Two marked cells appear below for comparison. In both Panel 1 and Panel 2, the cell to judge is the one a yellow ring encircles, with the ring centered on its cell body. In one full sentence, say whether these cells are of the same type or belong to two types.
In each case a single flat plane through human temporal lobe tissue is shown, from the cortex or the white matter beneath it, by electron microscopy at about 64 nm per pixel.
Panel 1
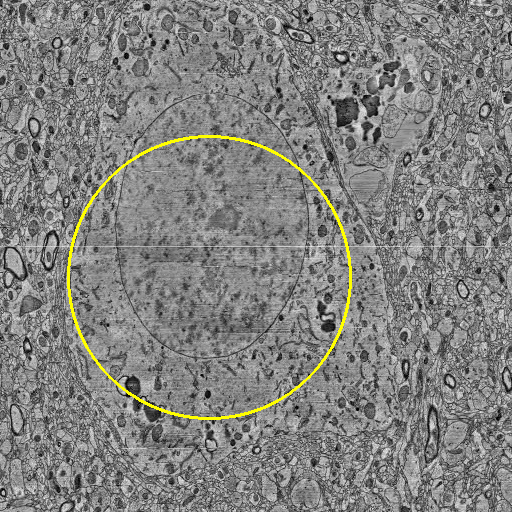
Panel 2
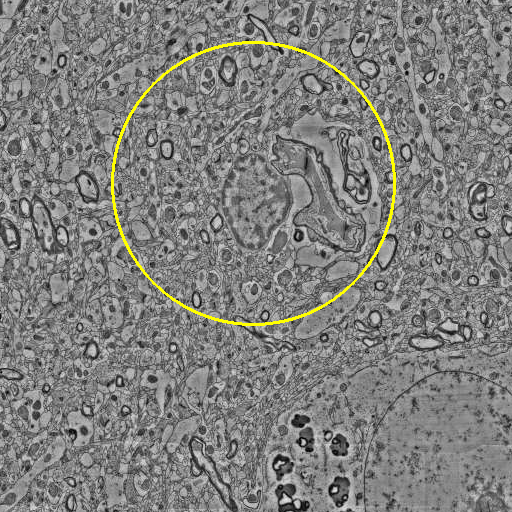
The cell centered in the Panel 1 ring and the one in Panel 2 belong to two types.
